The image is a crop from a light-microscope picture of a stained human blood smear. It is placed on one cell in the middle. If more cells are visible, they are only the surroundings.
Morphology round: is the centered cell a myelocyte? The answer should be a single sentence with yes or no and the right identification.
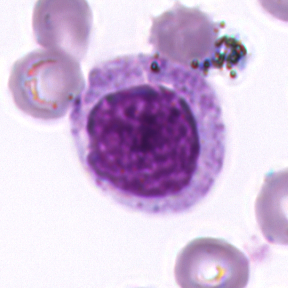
Yes, the cell here in the middle is a myelocyte.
